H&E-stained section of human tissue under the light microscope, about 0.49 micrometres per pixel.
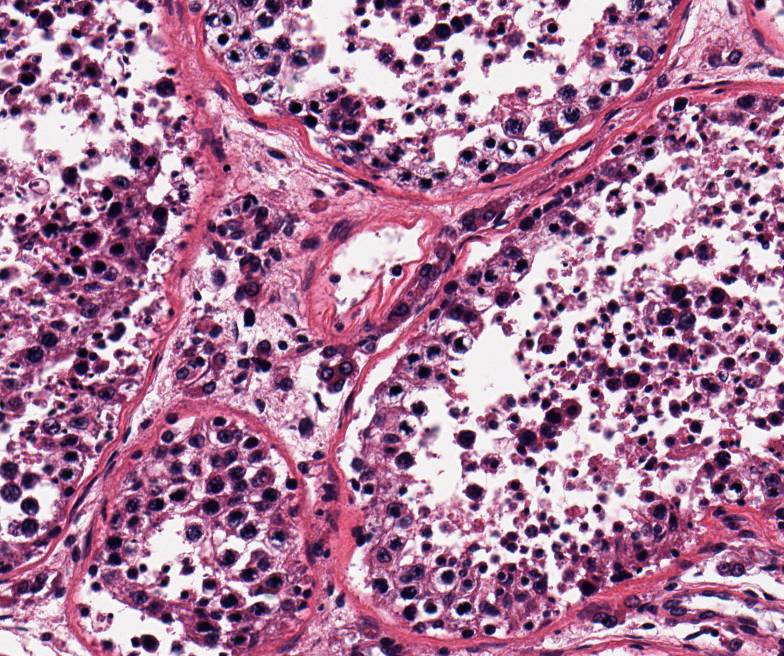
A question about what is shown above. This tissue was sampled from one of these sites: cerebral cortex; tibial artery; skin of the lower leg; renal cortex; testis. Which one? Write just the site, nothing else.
testis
